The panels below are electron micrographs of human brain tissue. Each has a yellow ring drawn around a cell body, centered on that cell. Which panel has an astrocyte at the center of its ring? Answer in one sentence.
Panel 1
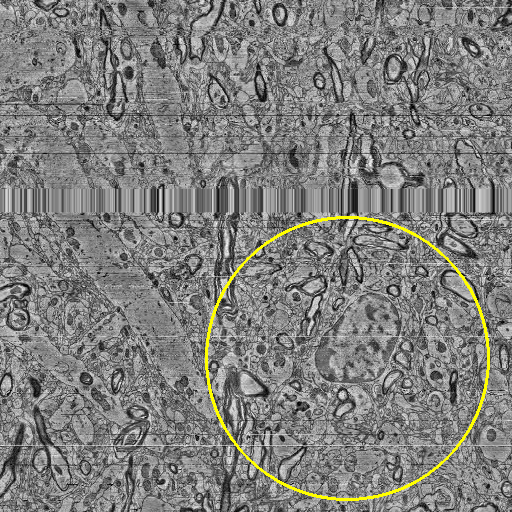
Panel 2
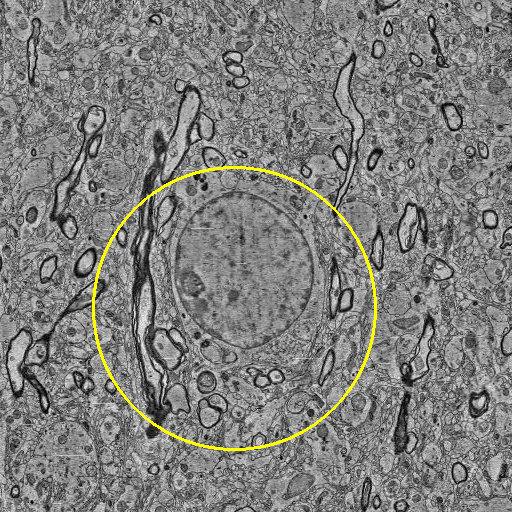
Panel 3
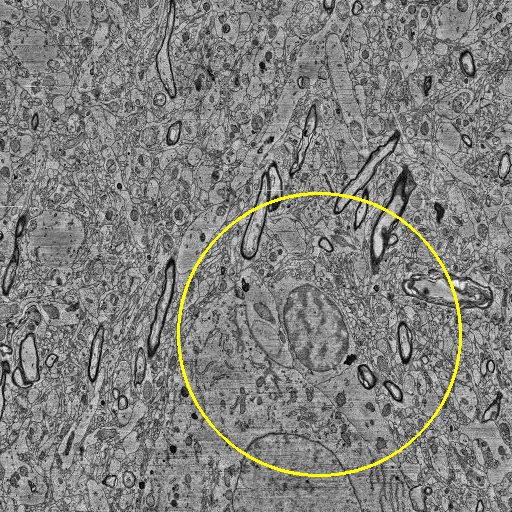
Panel 2 has it at the center of its ring.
